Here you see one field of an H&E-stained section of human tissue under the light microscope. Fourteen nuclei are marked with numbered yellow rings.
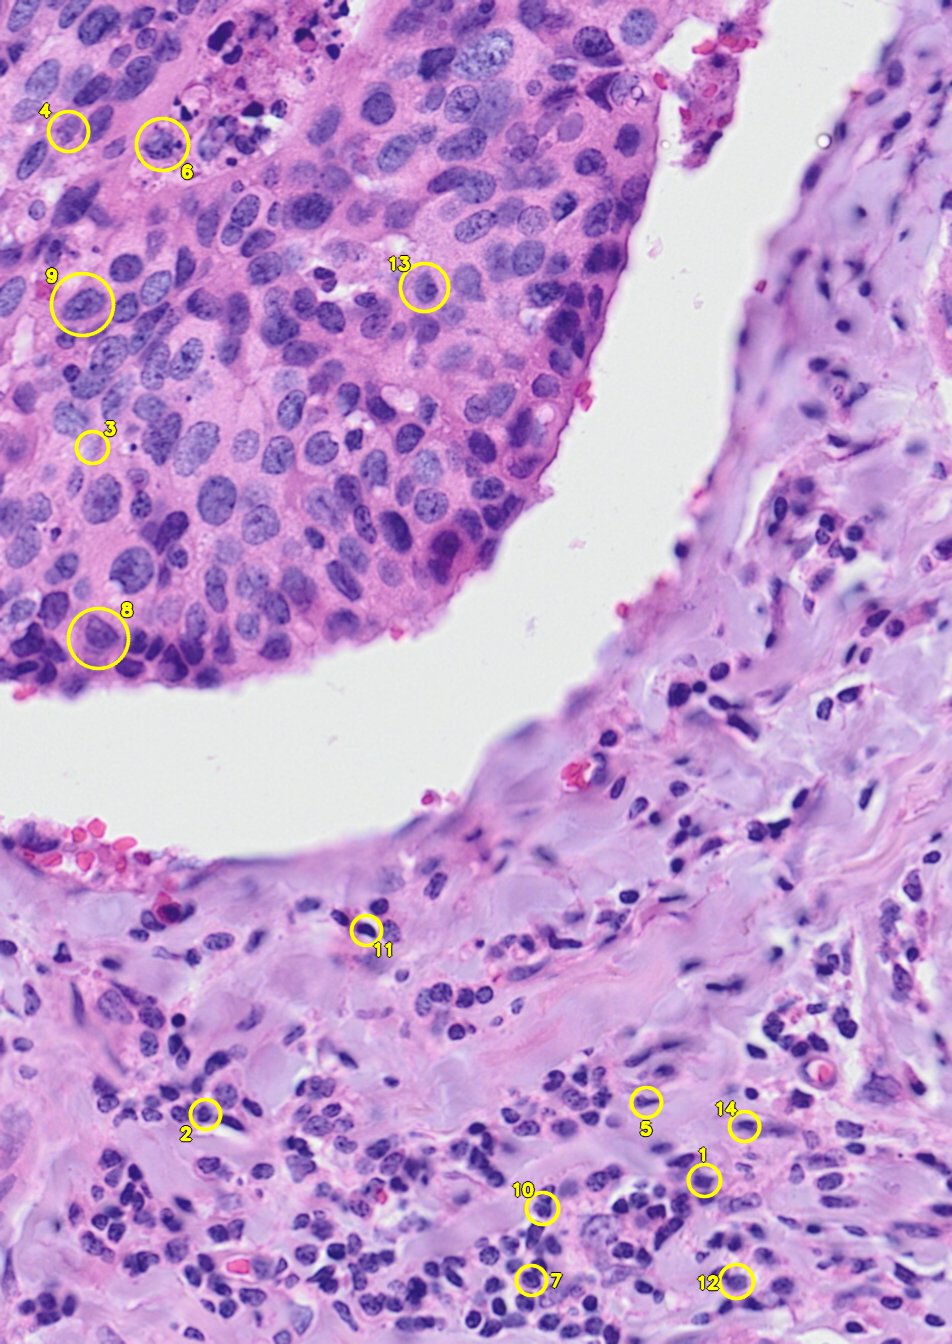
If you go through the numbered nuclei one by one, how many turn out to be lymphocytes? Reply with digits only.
8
